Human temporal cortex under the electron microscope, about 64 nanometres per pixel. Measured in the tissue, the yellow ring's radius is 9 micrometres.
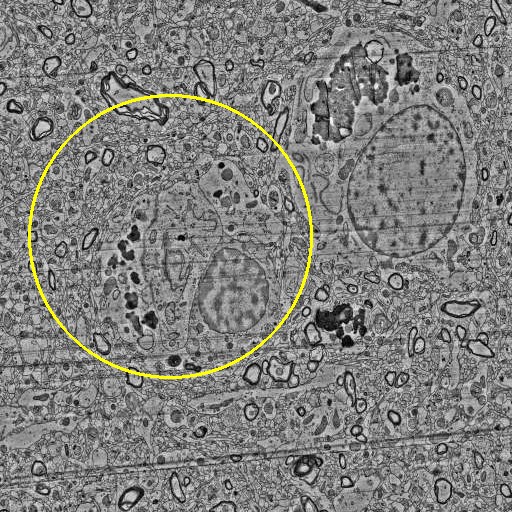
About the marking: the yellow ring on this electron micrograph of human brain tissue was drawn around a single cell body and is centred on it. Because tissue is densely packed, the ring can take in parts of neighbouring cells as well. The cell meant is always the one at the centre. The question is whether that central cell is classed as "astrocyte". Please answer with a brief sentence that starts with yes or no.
No, the central cell belongs to another class.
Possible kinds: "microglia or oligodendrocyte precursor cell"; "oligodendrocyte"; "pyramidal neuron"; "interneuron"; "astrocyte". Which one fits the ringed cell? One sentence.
This picture has a pyramidal neuron at the centre of its ring.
